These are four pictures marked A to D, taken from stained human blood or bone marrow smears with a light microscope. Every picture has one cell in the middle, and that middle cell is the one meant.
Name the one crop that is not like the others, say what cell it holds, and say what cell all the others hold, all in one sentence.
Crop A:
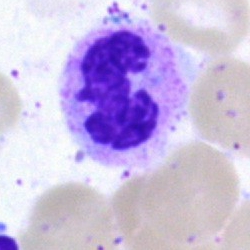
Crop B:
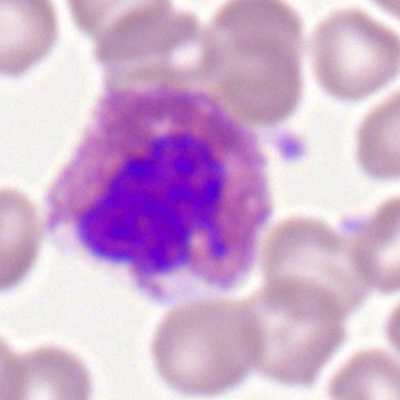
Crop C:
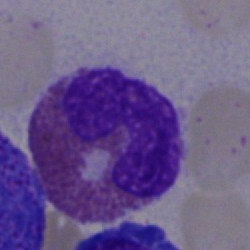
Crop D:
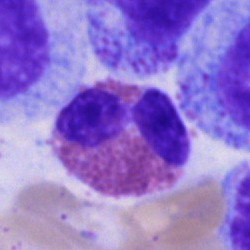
Crop A is a neutrophil, while the rest of the set consists of eosinophils.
